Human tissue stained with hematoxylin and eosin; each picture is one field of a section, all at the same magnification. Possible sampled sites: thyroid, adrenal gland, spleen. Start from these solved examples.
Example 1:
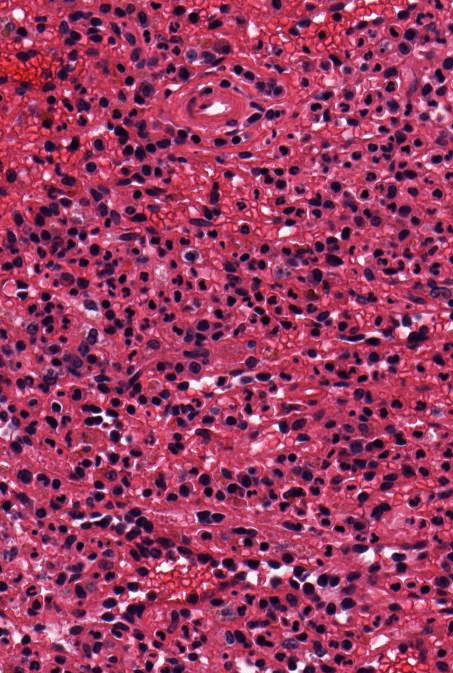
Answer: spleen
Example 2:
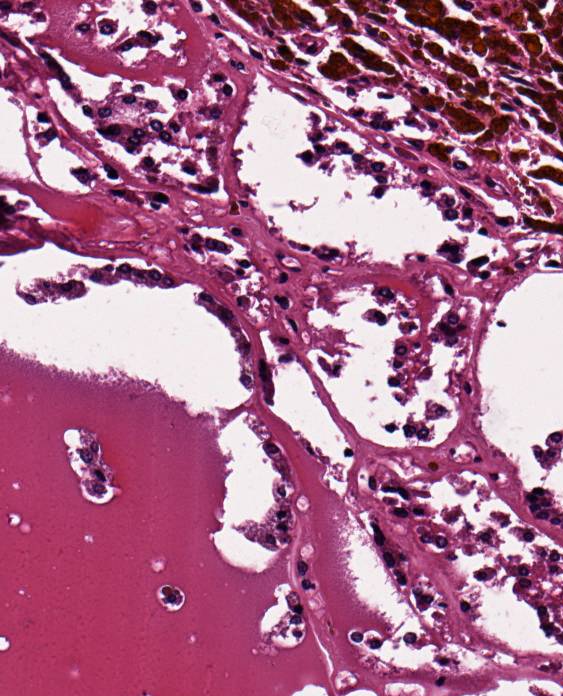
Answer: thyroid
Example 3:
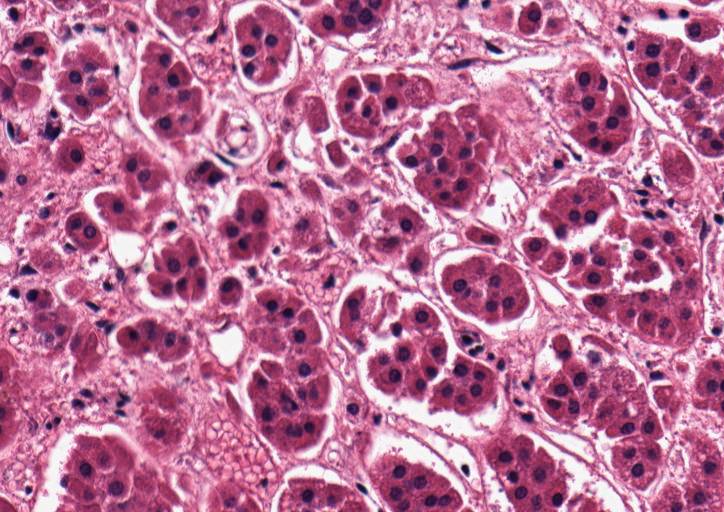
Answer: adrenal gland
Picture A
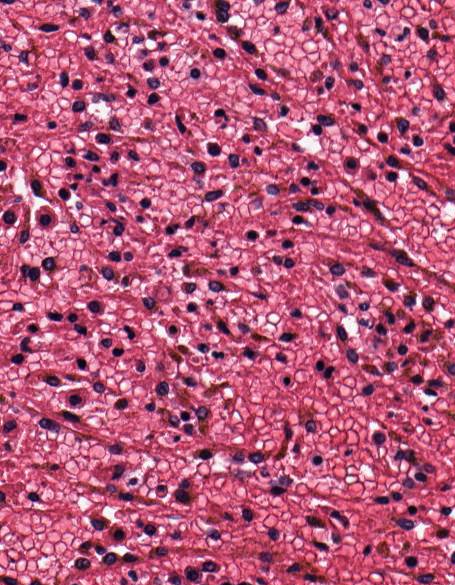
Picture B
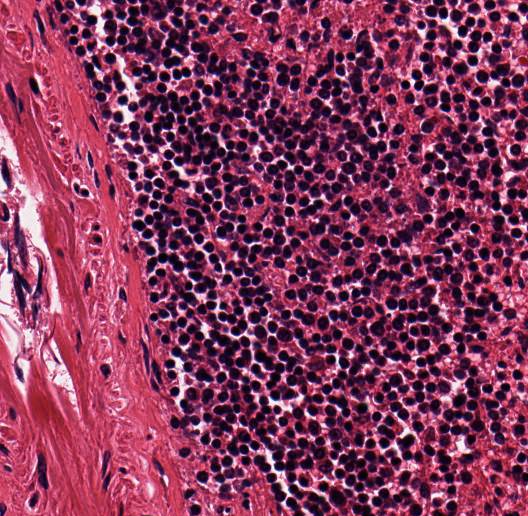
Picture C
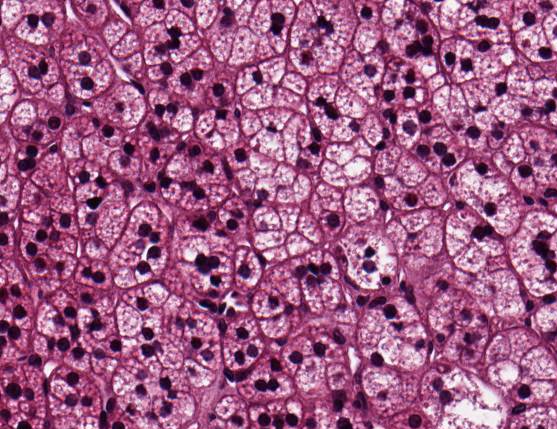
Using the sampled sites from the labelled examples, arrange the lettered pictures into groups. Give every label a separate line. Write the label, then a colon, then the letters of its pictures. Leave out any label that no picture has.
adrenal gland: C
spleen: A, B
